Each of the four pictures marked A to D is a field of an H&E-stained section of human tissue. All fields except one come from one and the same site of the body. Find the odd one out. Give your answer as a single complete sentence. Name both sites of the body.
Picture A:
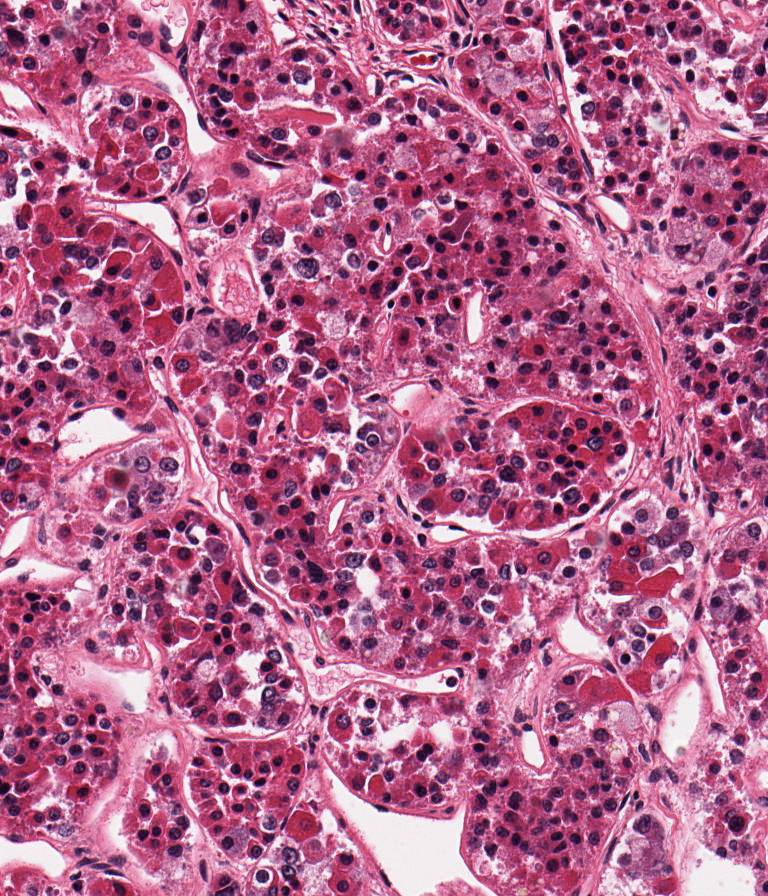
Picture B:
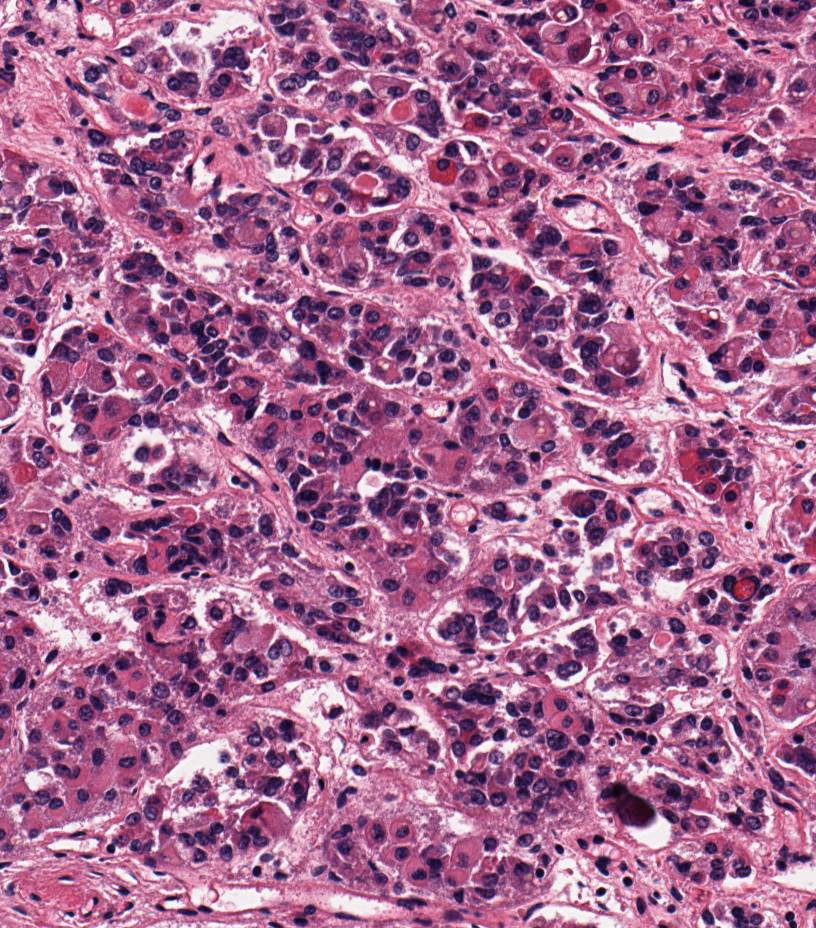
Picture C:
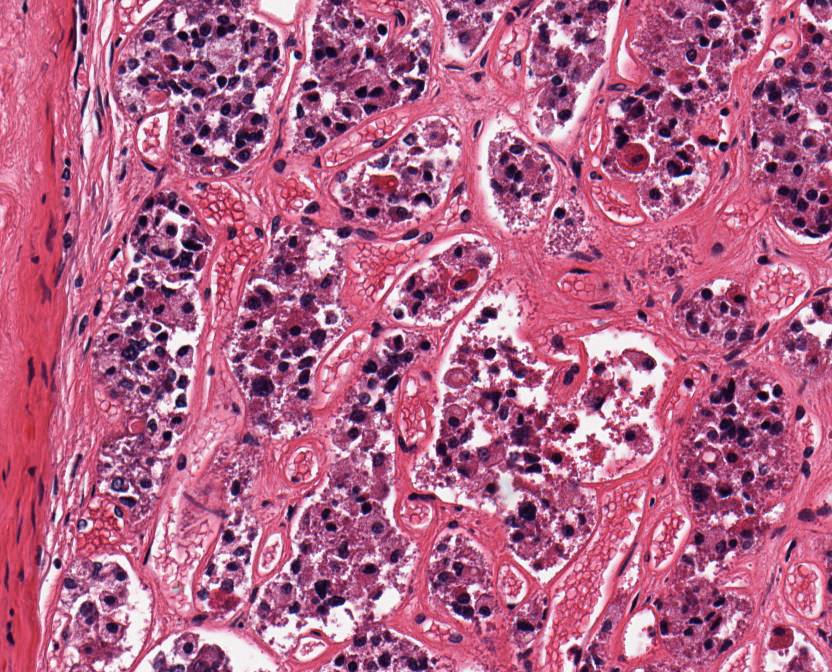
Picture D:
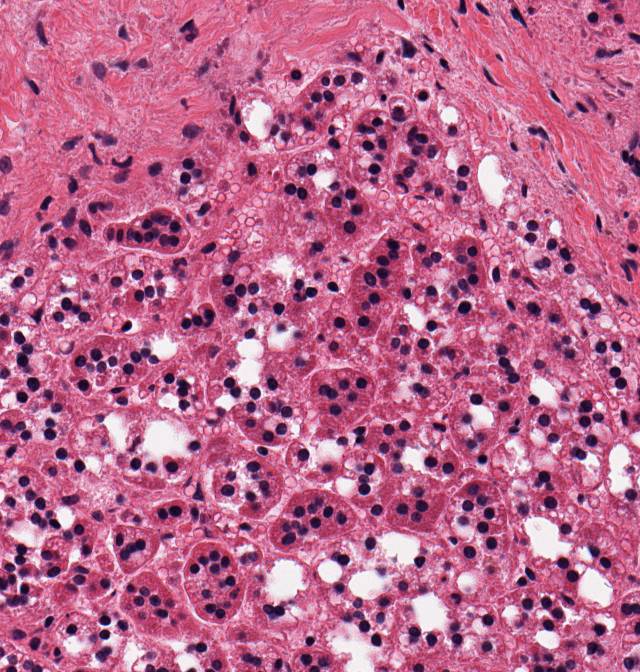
Unlike the rest, which come from the pituitary, picture D comes from the adrenal gland.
